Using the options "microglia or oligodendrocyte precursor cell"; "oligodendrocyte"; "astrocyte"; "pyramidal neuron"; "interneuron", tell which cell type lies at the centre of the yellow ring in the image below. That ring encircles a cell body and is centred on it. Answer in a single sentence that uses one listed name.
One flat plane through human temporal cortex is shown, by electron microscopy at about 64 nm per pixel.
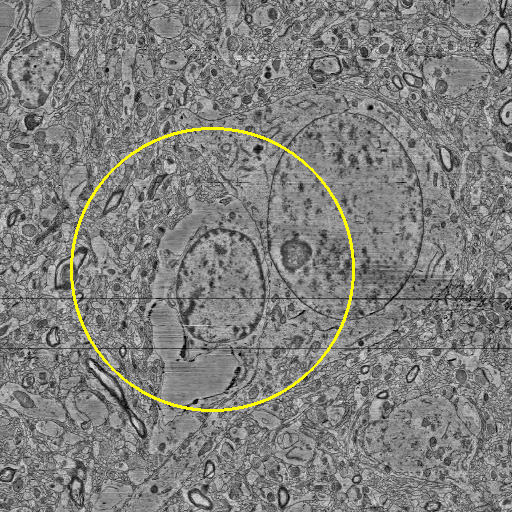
At the centre of the yellow ring lies the body of an astrocyte.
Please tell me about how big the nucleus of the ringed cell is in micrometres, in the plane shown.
Roughly 8 by 6 micrometres is the size of the nucleus in this plane.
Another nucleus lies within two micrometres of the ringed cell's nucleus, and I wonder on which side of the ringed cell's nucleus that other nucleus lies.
That second nucleus is to the upper right of it.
